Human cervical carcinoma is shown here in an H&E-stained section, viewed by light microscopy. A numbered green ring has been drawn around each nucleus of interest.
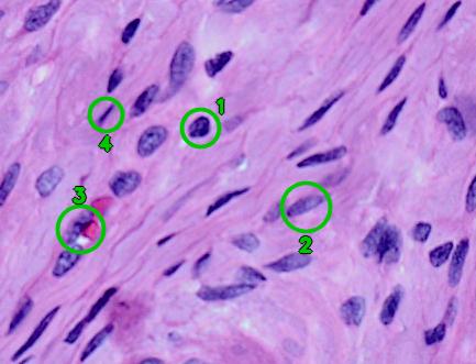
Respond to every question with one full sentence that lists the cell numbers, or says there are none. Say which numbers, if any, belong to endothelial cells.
Unlike the other numbered cells, cell 3 is an endothelial cell.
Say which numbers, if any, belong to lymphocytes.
Cell 1 is a lymphocyte and is the only numbered cell of that kind.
